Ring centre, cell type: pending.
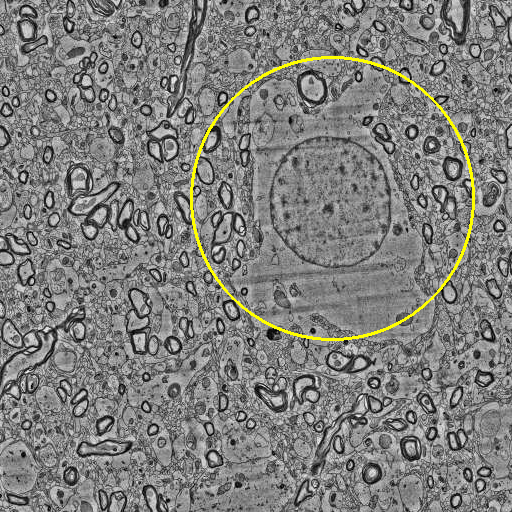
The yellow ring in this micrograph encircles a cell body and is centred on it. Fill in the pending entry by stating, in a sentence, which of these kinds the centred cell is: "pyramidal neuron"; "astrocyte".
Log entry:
The centred cell is recorded as an astrocyte.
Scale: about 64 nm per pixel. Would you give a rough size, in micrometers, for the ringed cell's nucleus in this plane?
About 8 micrometres across in this plane, for the nucleus.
